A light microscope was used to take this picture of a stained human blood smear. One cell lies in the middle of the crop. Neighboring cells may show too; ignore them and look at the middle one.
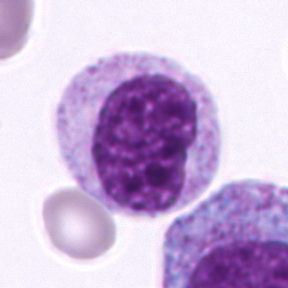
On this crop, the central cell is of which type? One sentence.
This crop's central cell is a metamyelocyte.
